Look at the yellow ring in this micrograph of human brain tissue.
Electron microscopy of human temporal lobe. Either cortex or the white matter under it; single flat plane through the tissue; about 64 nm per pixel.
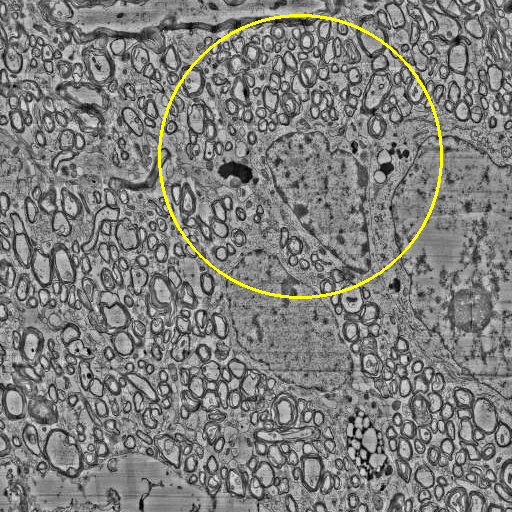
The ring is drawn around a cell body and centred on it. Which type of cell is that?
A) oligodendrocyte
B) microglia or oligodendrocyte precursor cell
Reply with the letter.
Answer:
B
